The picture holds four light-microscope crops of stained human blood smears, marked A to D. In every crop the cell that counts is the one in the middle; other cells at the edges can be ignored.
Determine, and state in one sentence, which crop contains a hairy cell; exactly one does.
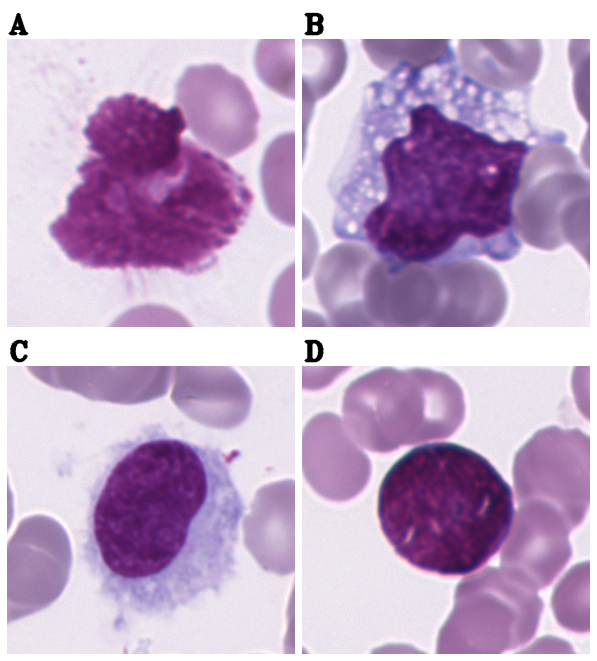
Of the crops shown, crop C depicts a hairy cell.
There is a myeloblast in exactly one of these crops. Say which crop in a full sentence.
The crop carrying a myeloblast at the center is crop D.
